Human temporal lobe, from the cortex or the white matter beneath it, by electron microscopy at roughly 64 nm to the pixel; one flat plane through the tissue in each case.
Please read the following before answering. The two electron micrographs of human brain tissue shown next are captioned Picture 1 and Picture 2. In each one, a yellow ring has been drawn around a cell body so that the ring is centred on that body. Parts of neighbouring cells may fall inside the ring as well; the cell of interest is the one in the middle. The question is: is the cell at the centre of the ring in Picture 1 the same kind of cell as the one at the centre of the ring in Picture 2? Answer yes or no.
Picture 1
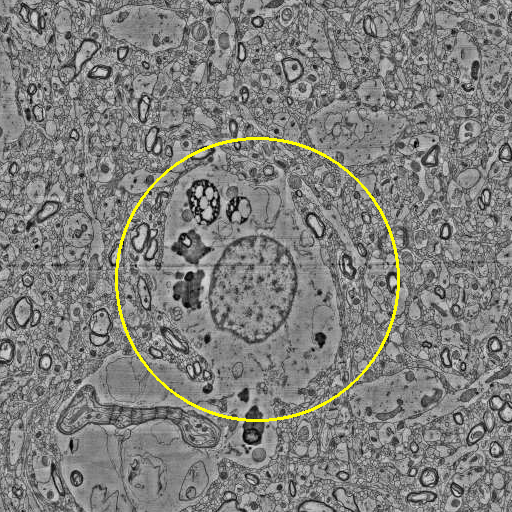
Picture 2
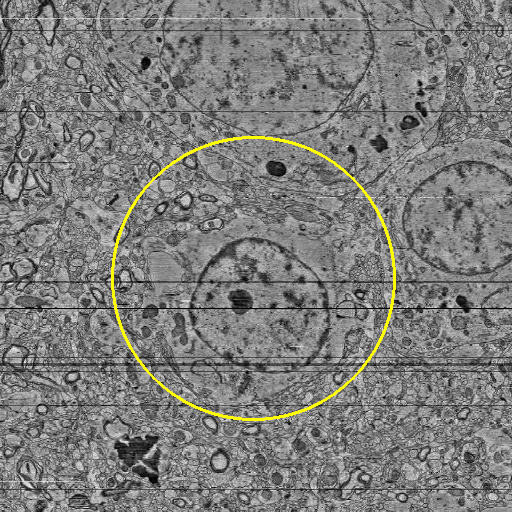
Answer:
yes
